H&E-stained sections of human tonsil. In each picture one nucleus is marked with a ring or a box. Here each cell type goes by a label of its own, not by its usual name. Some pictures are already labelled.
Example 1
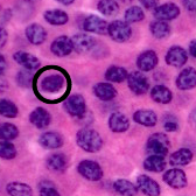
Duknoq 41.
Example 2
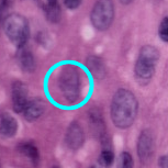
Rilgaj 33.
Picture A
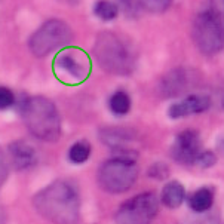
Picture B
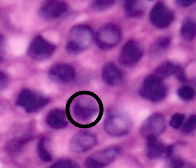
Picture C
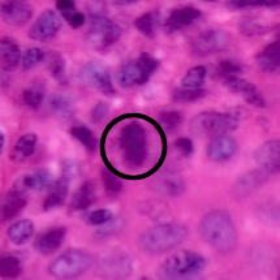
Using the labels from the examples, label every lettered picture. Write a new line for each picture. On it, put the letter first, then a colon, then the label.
A: Rilgaj 33.
B: Rilgaj 33.
C: Rilgaj 33.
